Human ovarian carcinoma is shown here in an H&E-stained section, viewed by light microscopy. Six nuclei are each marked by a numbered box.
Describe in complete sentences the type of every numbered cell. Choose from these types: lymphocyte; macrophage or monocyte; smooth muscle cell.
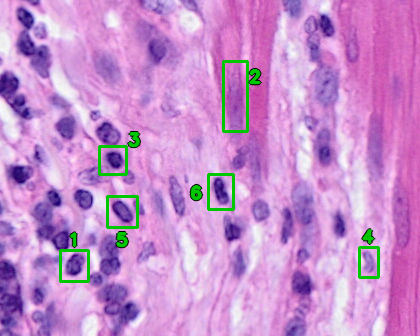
Cell 1 is a lymphocyte, cell 2 is a smooth muscle cell, cell 3 is a lymphocyte, cell 4 is a macrophage or monocyte, cell 5 is a lymphocyte and cell 6 is a lymphocyte.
